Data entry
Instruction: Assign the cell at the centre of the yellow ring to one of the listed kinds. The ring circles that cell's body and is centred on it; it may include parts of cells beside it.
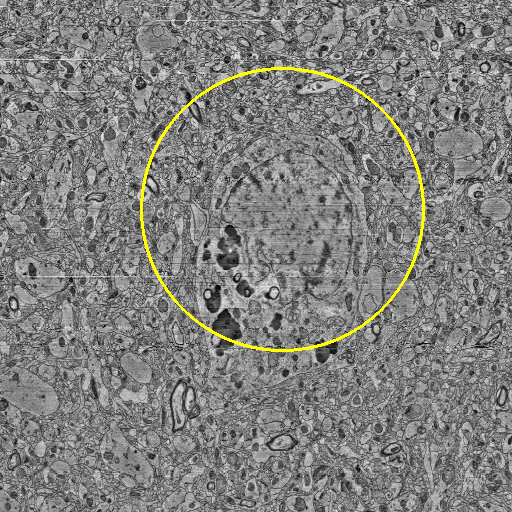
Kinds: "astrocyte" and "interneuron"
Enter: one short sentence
The centre of the ring falls on an interneuron.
